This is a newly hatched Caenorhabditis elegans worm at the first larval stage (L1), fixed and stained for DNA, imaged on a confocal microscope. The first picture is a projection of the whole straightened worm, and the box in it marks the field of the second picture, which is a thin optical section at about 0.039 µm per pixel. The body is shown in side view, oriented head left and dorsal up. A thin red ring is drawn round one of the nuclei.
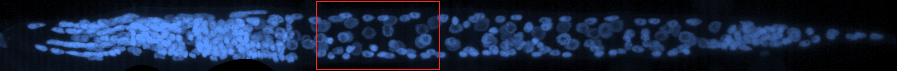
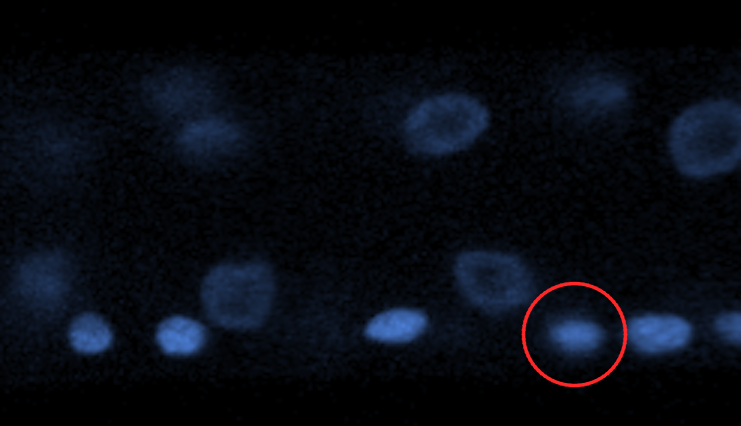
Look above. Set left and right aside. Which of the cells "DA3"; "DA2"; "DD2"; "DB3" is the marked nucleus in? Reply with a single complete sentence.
This is the nucleus of DA3, a neuron.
